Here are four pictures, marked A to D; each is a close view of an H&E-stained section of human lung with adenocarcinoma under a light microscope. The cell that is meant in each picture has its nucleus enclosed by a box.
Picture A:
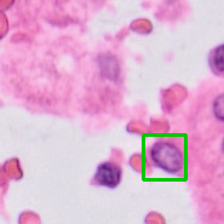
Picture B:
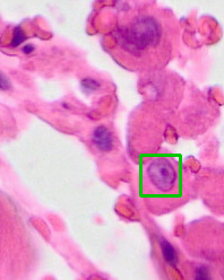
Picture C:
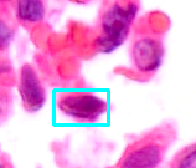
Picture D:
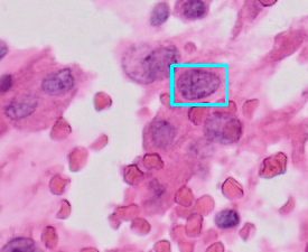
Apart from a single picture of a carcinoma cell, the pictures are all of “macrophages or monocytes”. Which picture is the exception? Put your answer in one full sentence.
Picture C shows the carcinoma cell.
